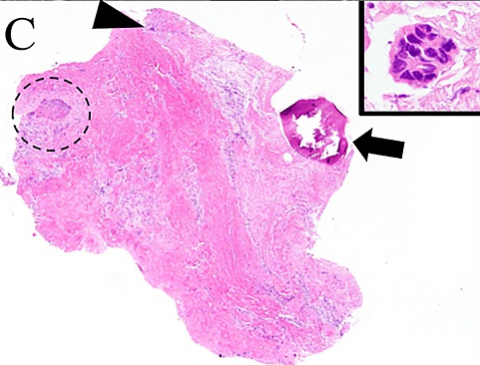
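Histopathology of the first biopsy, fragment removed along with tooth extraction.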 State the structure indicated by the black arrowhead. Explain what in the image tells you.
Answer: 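Odontogenic epithelial island. The inset shows a small tight cluster of cells with dark purple nuclei. The cluster lies within pale fibrous stroma.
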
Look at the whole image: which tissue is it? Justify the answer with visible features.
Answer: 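Most of the fragment is pink, collagen-rich stroma. Nuclei are sparse and spread through the stroma.
Hence: fibrous tissue.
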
